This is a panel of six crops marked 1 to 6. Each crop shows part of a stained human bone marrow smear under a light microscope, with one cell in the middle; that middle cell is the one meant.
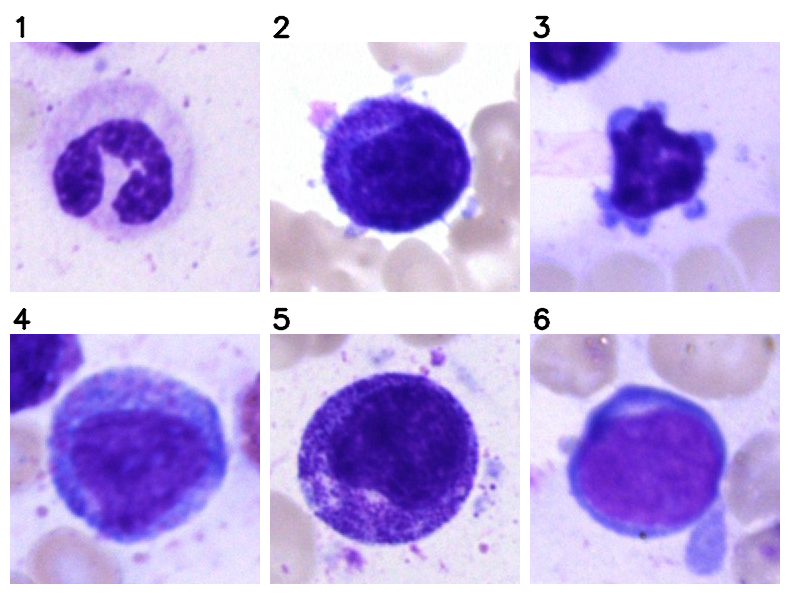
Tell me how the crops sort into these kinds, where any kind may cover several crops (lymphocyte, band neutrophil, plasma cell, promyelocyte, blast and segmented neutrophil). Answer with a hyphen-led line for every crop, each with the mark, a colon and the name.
- 1: segmented neutrophil
- 2: promyelocyte
- 3: lymphocyte
- 4: promyelocyte
- 5: promyelocyte
- 6: blast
